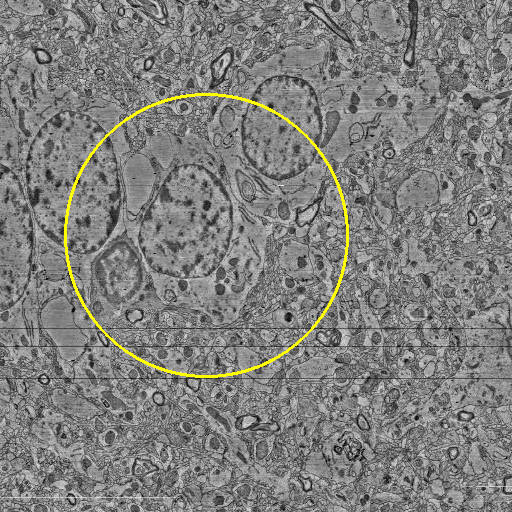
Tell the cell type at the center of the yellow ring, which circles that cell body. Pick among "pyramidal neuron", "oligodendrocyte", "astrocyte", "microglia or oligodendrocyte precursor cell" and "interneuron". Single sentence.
The ring is centered on the body of an astrocyte.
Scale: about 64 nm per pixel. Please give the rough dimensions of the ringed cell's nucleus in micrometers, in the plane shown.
About 8 by 6 micrometers, in this plane.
